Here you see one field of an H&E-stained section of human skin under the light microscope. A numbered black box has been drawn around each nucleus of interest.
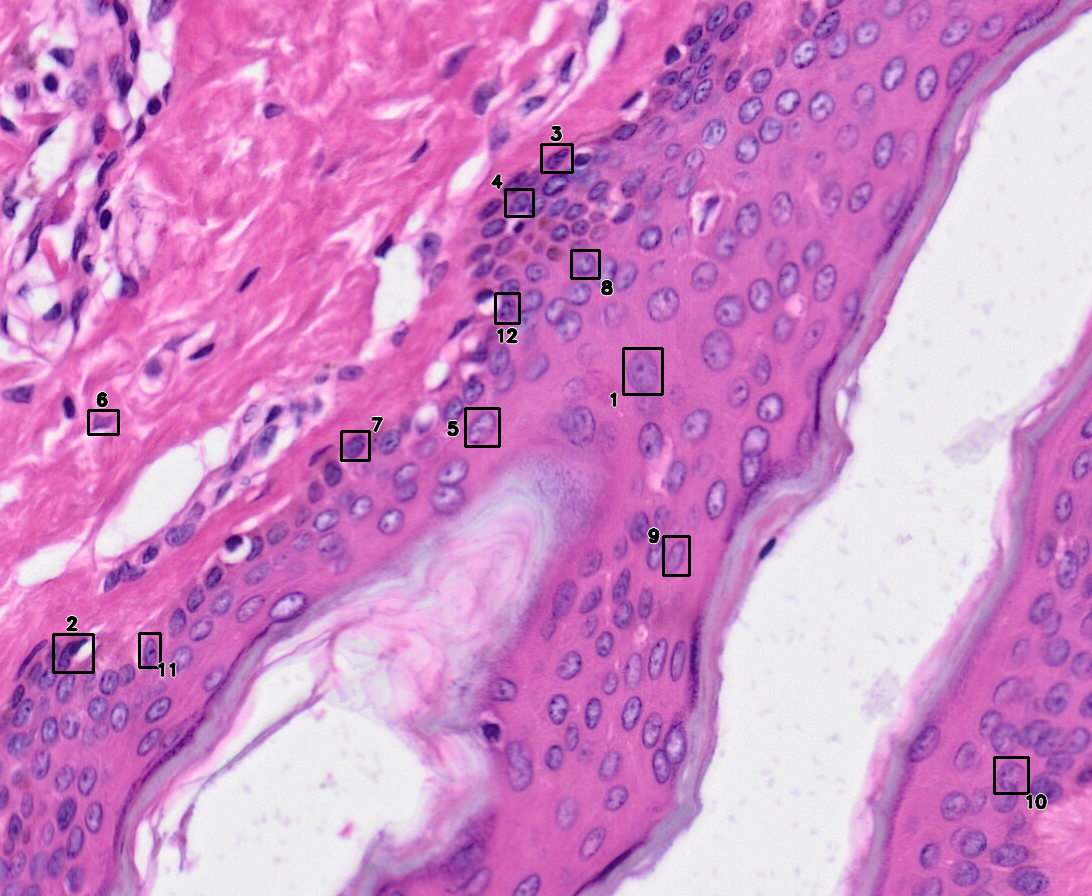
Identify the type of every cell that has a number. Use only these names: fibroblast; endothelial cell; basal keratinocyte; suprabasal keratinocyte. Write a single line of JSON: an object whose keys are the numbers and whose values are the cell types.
{"1": "suprabasal keratinocyte", "2": "basal keratinocyte", "3": "basal keratinocyte", "4": "basal keratinocyte", "5": "suprabasal keratinocyte", "6": "fibroblast", "7": "basal keratinocyte", "8": "suprabasal keratinocyte", "9": "suprabasal keratinocyte", "10": "suprabasal keratinocyte", "11": "basal keratinocyte", "12": "basal keratinocyte"}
